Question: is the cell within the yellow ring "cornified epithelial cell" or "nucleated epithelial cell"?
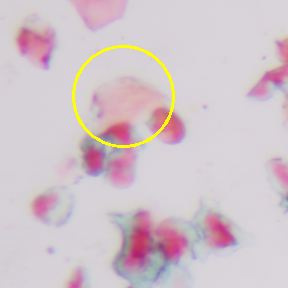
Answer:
cornified epithelial cell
